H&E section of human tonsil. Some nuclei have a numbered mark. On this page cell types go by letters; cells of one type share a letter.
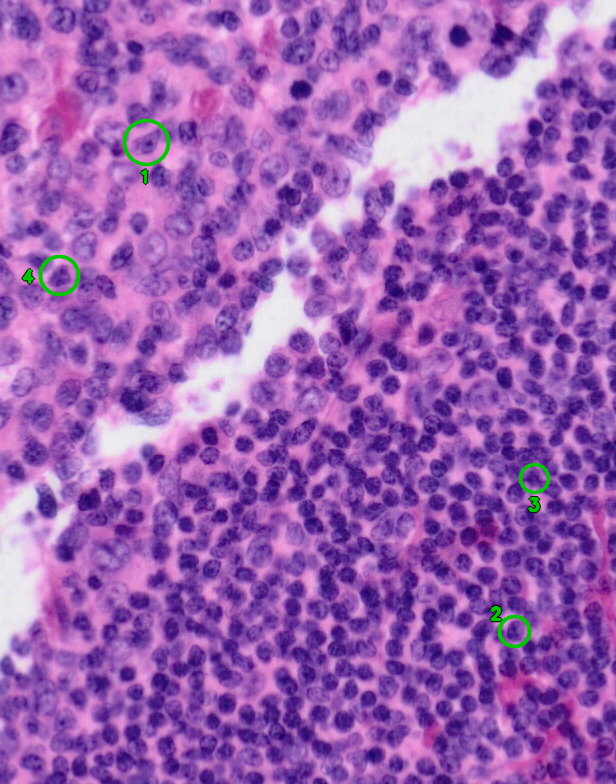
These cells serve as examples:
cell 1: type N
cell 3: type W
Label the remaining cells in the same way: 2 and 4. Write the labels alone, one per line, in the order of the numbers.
type W
type N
